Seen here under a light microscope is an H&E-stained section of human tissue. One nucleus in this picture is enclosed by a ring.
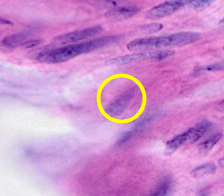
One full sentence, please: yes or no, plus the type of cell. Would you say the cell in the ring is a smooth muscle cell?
Yes, the cell in the ring is accurately described as a smooth muscle cell.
